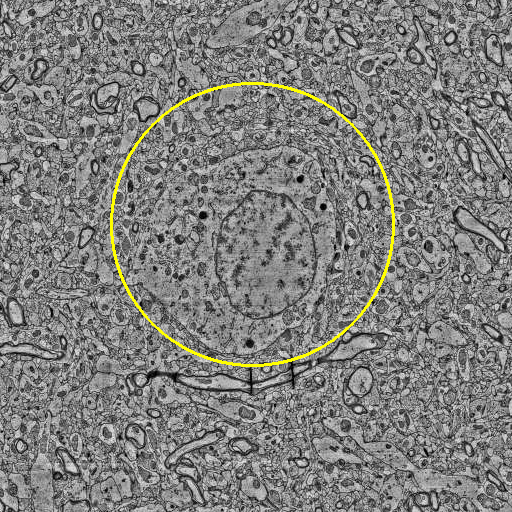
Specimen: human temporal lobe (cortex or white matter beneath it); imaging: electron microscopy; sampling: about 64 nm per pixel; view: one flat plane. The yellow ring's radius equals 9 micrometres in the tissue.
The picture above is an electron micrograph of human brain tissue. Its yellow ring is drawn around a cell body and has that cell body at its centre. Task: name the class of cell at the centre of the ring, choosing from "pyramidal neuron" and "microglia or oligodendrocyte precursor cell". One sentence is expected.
The ring surrounds the body of a pyramidal neuron.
